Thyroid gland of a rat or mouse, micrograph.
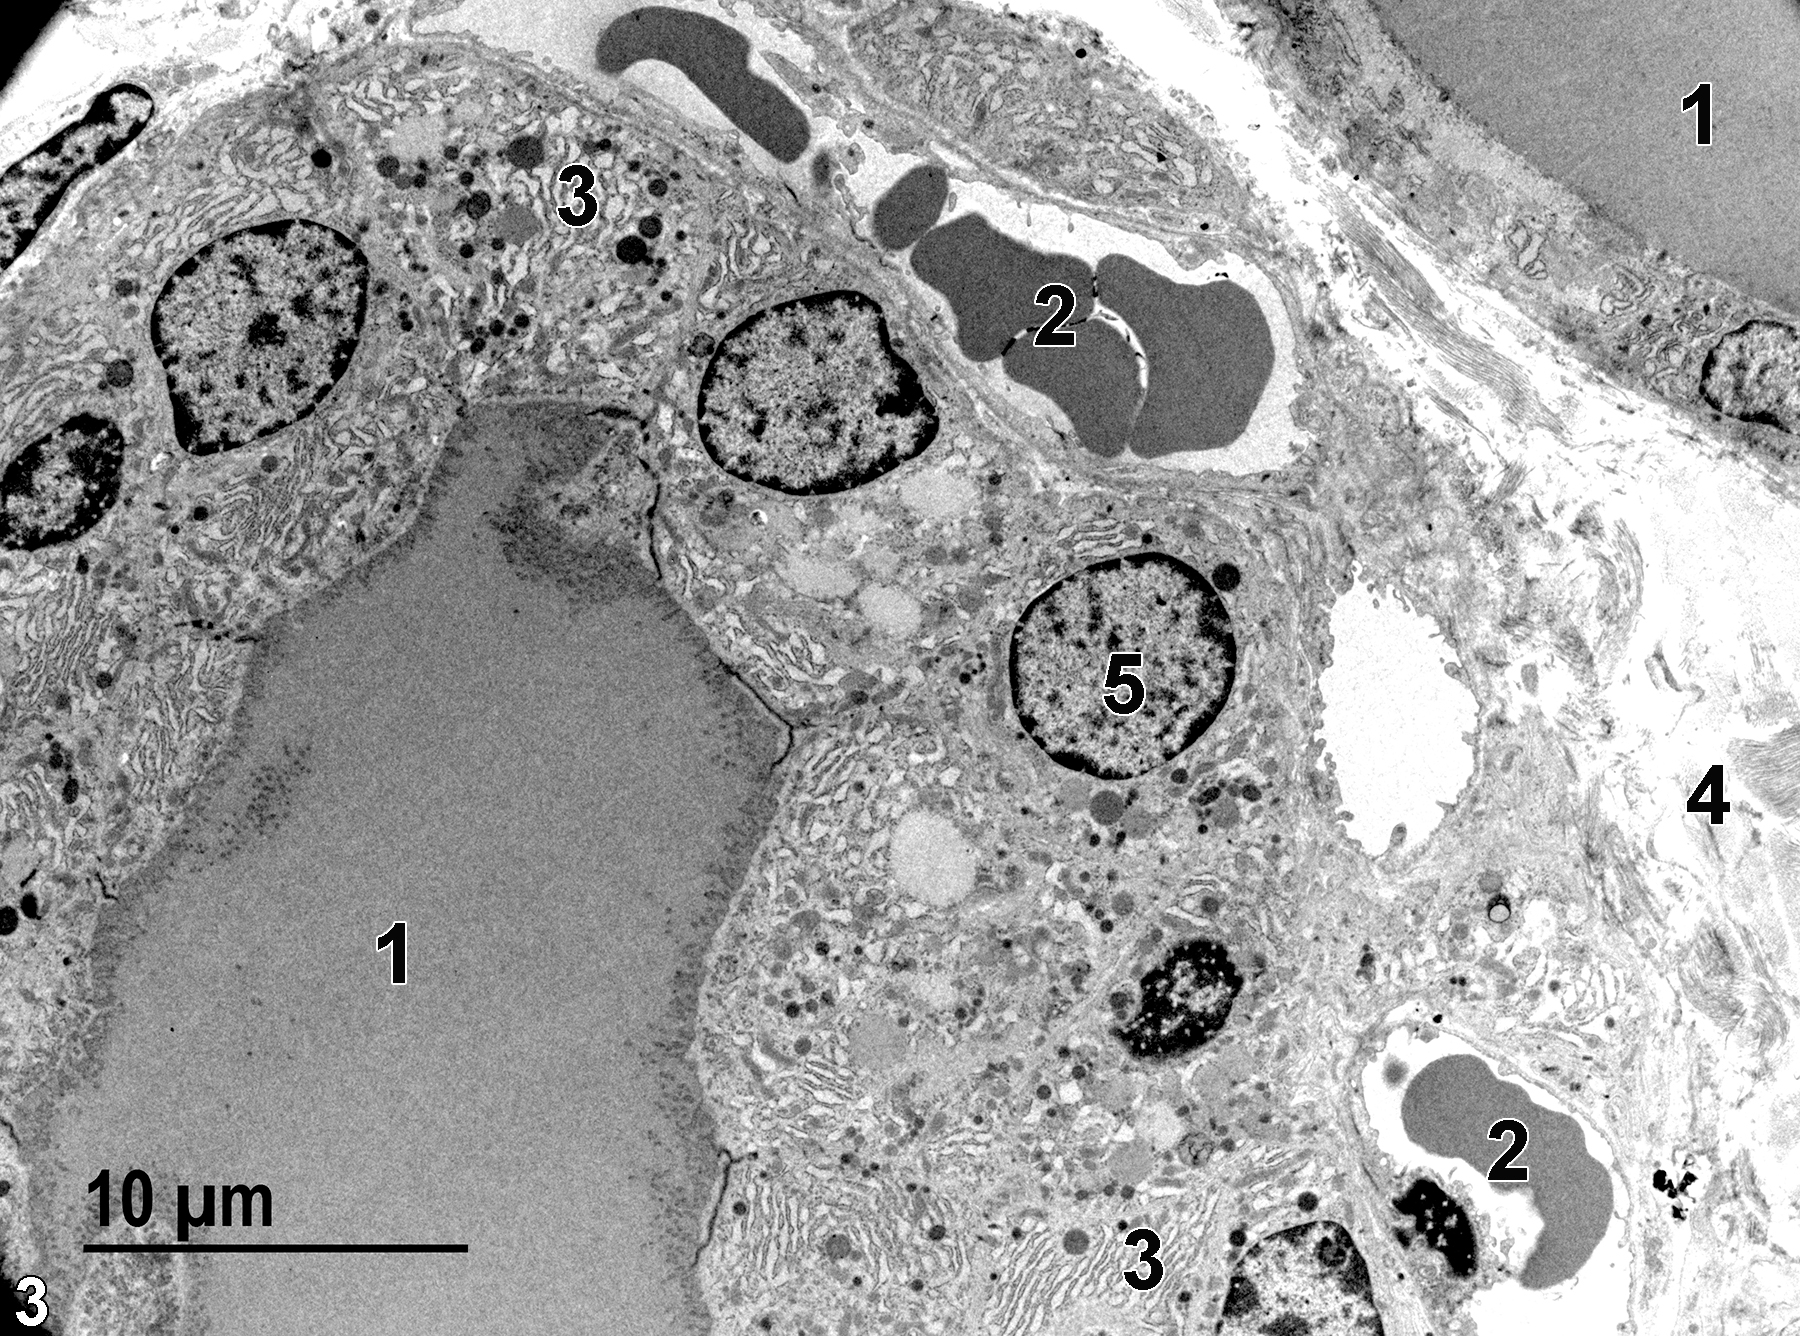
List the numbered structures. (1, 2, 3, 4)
1 colloid
2 capillaries
3 rough endoplasmic reticulum
4 septum of connective tissue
